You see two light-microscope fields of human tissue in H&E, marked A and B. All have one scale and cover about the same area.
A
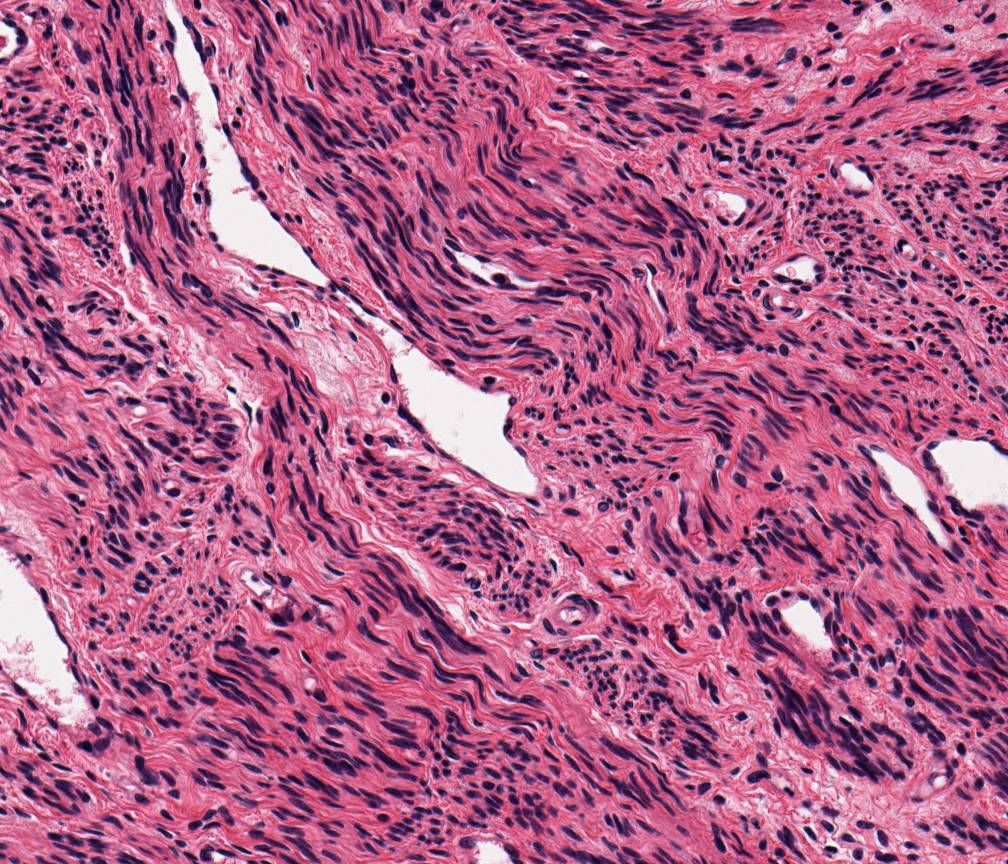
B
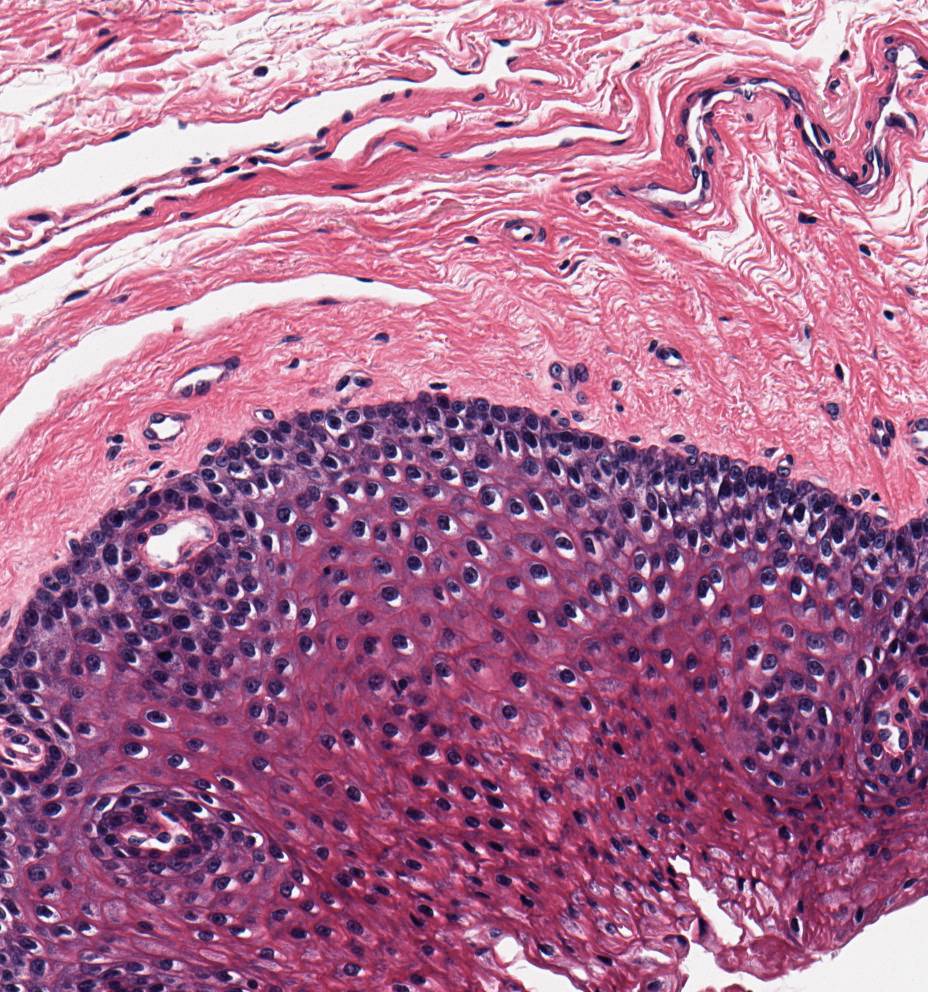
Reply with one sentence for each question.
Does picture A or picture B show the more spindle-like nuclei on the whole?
The nuclei are more elongated in picture A.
